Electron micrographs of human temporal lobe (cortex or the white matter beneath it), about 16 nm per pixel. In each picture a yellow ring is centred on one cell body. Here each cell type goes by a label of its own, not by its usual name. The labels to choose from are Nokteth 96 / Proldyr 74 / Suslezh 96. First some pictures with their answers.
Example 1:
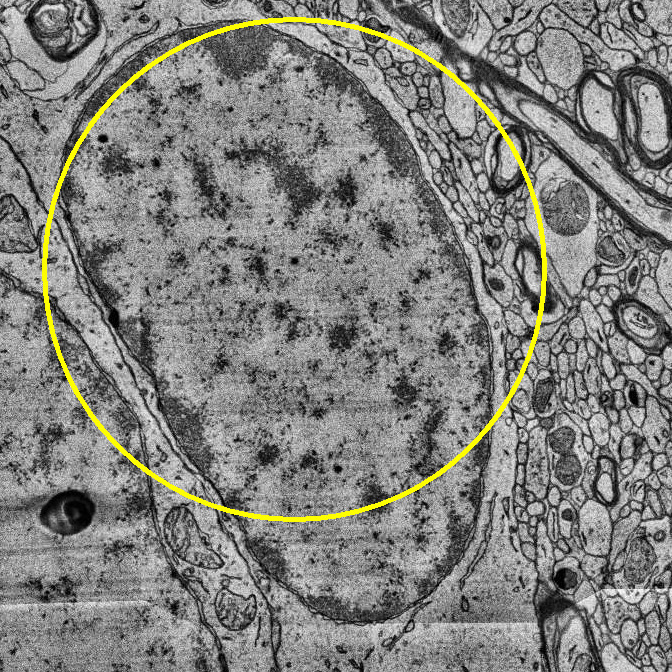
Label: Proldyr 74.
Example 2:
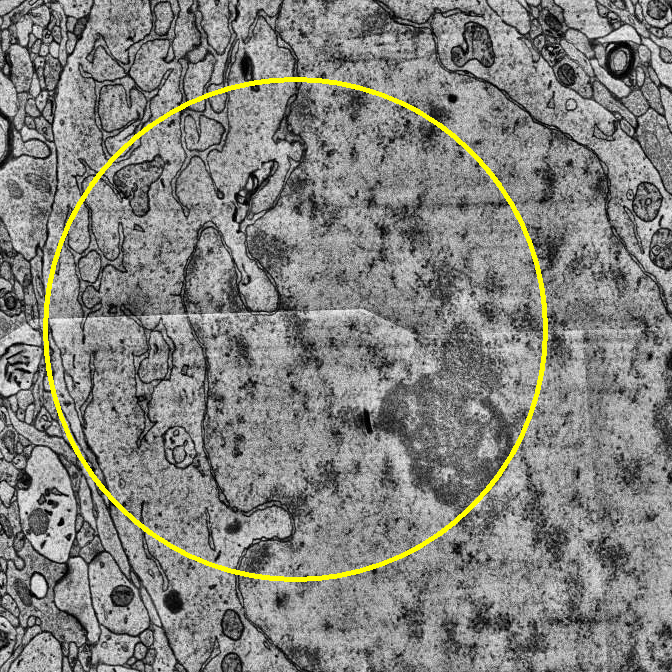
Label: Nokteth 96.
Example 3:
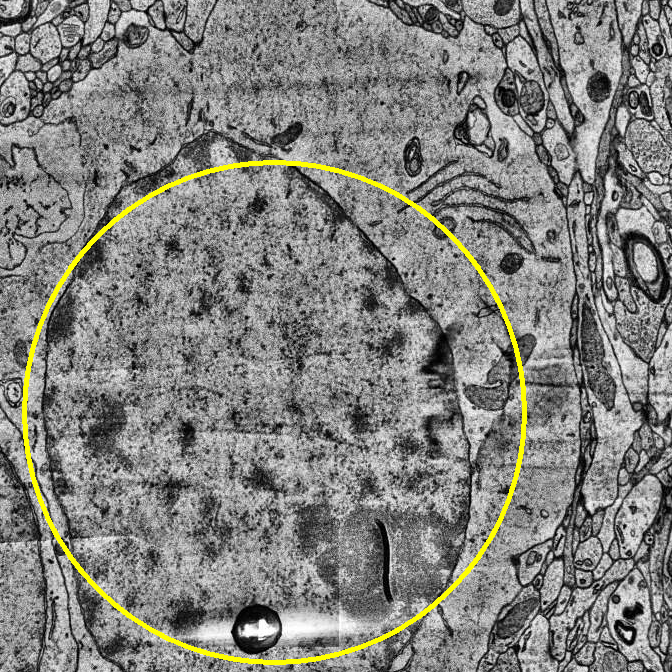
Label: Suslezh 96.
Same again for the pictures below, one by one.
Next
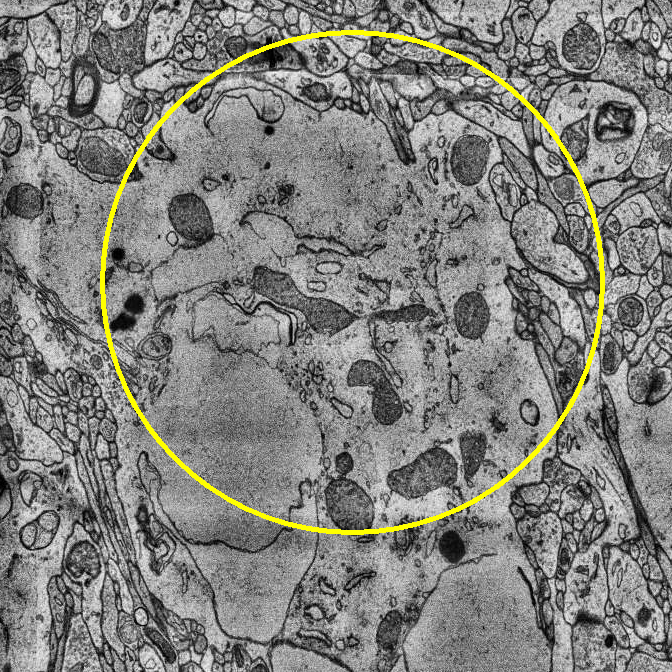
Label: Suslezh 96.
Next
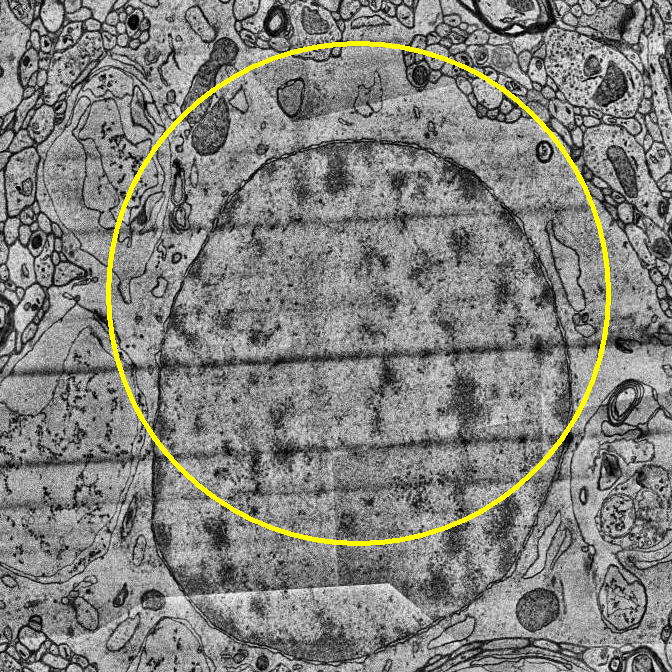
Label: Suslezh 96.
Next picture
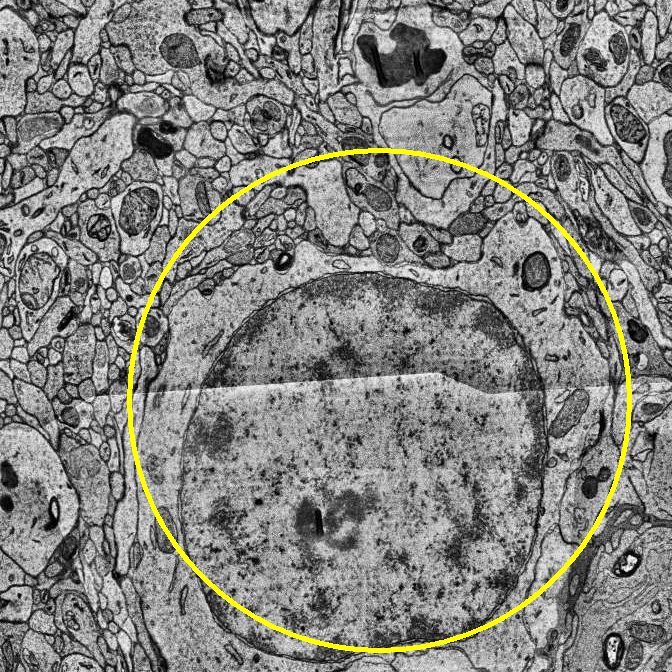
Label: Proldyr 74.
